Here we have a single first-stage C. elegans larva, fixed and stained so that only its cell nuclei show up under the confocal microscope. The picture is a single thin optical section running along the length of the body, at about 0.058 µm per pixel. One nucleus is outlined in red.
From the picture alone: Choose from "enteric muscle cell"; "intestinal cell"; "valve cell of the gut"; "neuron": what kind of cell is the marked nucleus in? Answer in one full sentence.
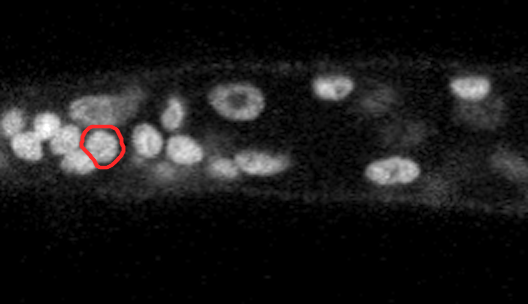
It belongs to a neuron.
